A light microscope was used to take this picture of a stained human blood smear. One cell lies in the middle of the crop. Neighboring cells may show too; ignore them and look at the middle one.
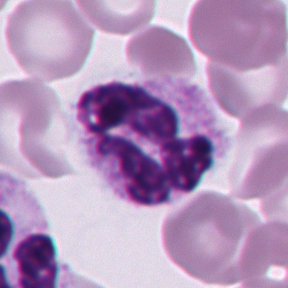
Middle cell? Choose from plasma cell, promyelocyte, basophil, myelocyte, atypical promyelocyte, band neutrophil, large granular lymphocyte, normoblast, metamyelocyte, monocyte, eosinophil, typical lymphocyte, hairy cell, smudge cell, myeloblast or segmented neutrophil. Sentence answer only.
The cell occupying the middle of the crop is a segmented neutrophil.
